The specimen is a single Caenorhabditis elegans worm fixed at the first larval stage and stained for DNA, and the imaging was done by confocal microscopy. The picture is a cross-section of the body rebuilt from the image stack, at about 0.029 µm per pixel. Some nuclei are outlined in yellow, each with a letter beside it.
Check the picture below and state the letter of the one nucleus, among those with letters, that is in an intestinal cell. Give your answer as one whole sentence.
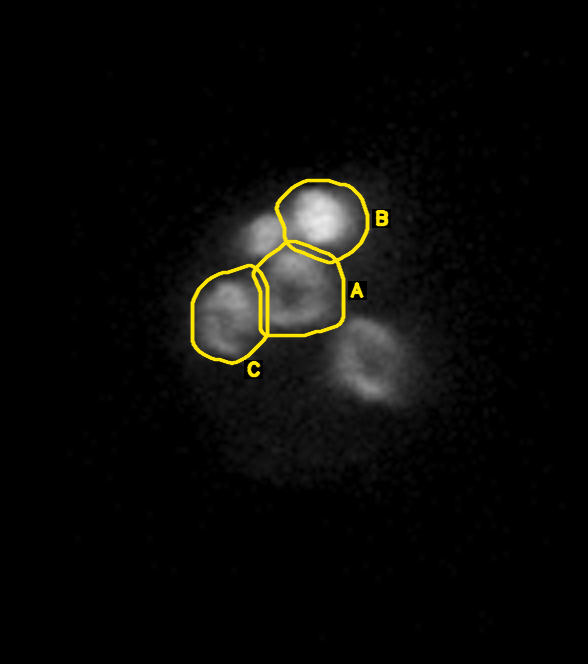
Of the marked nuclei, A is the one in an intestinal cell.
